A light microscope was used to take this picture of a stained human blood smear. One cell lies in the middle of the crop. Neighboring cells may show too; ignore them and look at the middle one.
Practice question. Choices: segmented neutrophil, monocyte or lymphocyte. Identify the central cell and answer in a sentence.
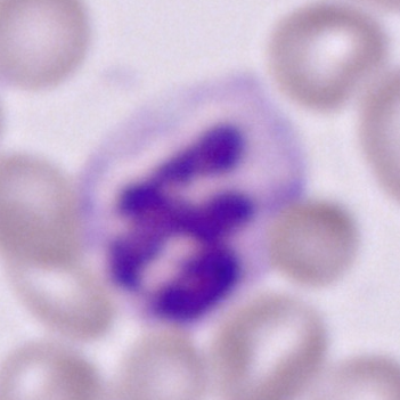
The cell at the heart of this crop is a segmented neutrophil.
